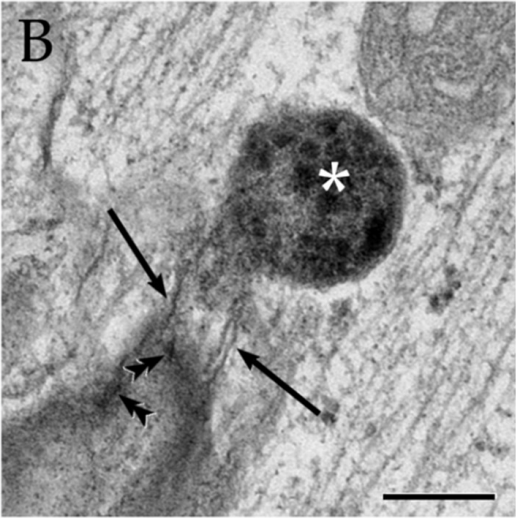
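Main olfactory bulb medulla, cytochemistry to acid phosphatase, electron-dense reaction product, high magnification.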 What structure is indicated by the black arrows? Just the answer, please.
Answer: Narrow ducts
